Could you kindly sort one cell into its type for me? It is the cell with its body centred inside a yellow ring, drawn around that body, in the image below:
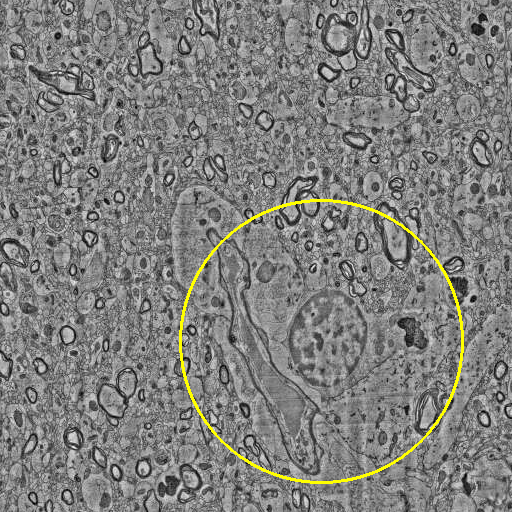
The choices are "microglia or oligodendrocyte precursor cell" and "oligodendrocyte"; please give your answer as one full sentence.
The cell whose body lies centred in the yellow ring here is an oligodendrocyte.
